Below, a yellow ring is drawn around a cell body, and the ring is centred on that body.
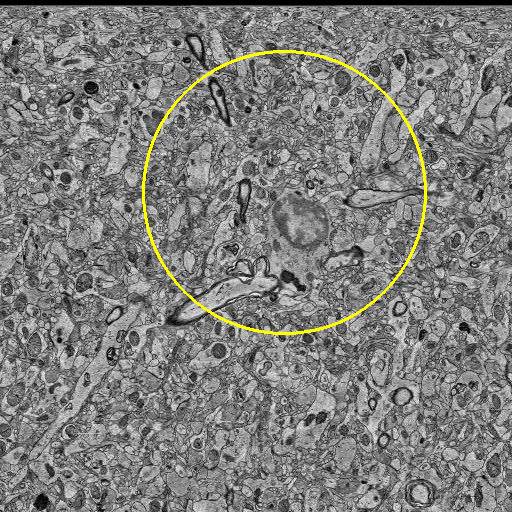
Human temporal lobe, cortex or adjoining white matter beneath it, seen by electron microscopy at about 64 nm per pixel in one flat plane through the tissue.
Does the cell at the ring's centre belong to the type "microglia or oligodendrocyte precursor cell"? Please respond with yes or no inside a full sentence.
No, the centred cell inside the ring shown in the picture is of a different type.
